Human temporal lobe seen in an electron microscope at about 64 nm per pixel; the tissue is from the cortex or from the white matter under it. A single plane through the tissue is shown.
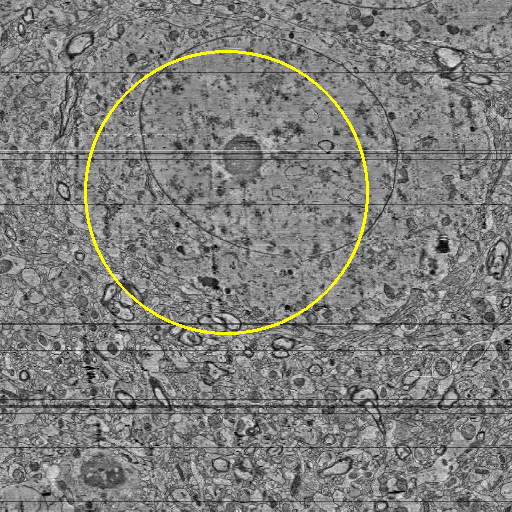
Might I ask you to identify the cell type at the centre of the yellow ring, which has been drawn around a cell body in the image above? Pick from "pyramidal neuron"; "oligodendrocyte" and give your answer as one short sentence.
The centre of the ring falls on a pyramidal neuron.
